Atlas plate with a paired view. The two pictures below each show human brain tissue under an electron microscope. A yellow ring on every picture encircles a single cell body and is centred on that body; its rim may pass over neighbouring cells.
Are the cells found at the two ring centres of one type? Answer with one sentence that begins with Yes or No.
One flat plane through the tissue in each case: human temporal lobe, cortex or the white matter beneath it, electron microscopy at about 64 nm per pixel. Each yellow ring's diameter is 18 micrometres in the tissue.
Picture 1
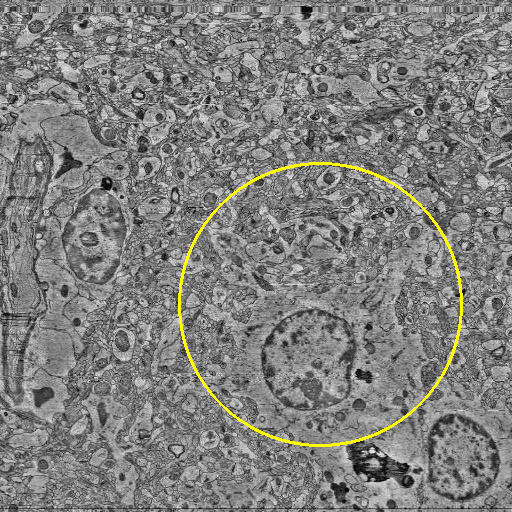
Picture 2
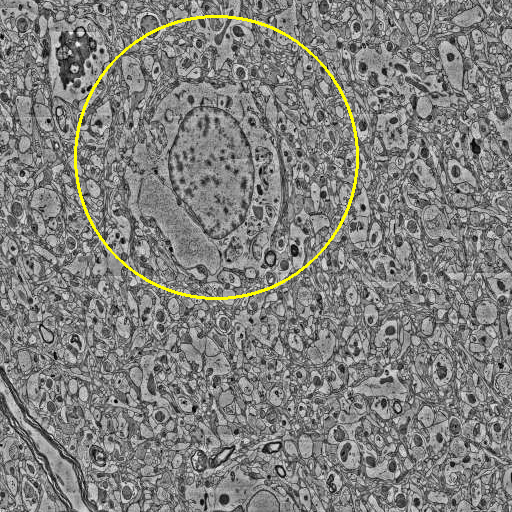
Yes, the two cells lying at the centres of the rings share a single type.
